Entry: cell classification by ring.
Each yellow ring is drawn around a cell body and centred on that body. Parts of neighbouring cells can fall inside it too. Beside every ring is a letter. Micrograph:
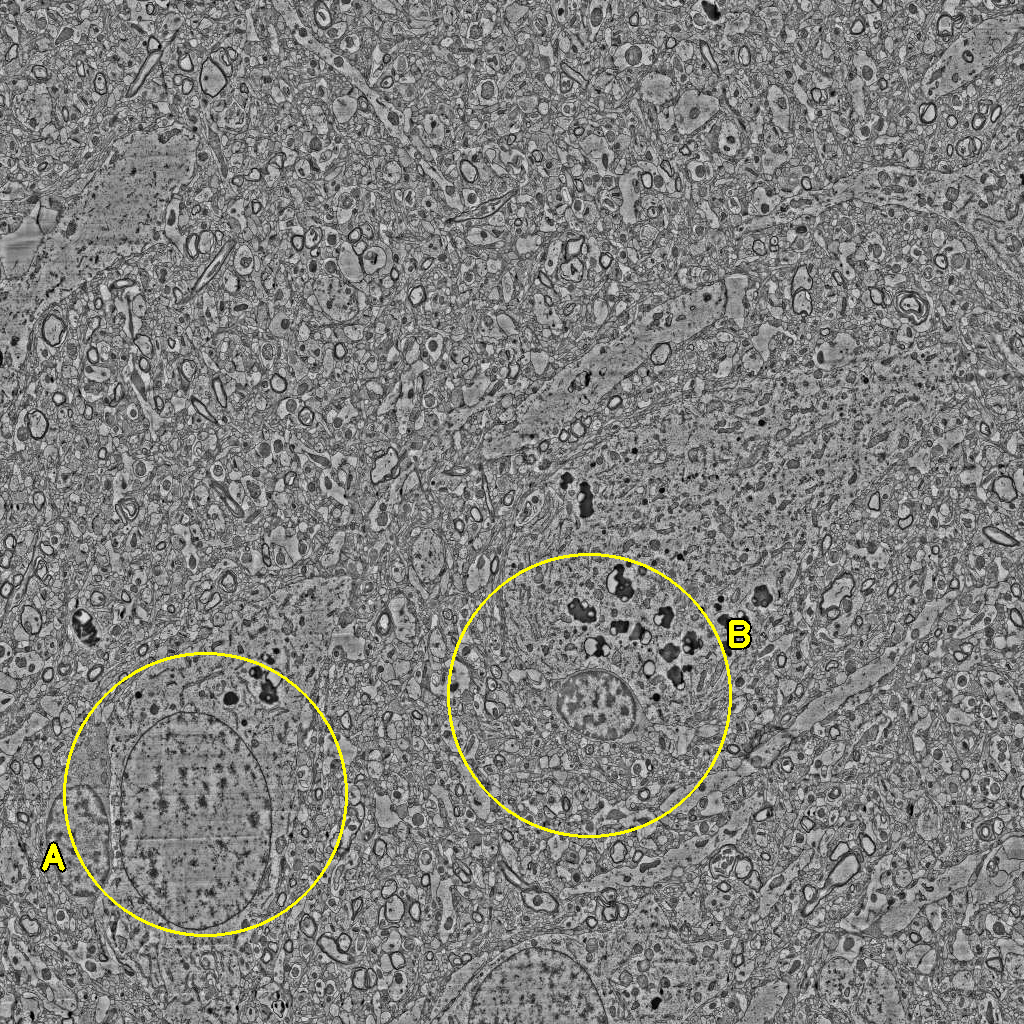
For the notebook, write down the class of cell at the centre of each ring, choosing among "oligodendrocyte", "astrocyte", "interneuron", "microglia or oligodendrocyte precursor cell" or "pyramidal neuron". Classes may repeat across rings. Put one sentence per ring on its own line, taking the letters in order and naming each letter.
Ring A marks a pyramidal neuron.
Ring B marks an oligodendrocyte.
